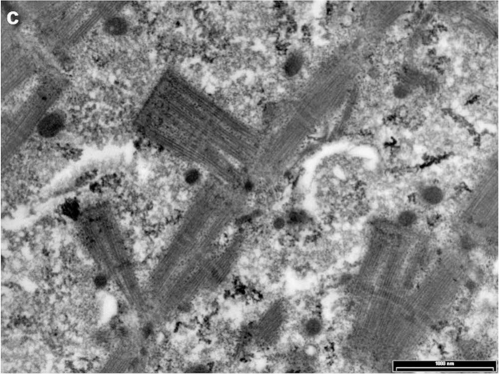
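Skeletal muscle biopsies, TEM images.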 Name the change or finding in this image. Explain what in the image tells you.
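Myofibrillar disarray. Short bundles of myofilaments run in many different directions. Z-lines of neighbouring bundles are not in register. Myofibril segments are separated by granular cytoplasm rather than lying parallel.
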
